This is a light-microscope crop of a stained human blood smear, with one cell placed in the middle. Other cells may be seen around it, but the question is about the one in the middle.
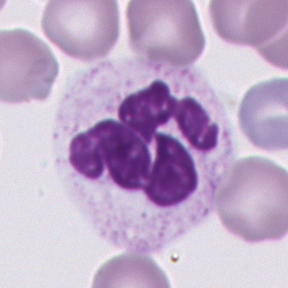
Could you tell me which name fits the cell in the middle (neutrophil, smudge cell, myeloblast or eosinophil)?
neutrophil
